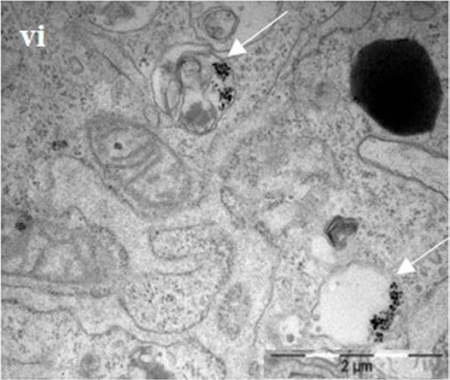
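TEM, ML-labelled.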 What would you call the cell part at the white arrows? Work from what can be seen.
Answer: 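Both arrows point to membrane-bound vesicles in the cytoplasm. Each vesicle contains a clump of black electron-dense granules at its edge.
Endosomal structures.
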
